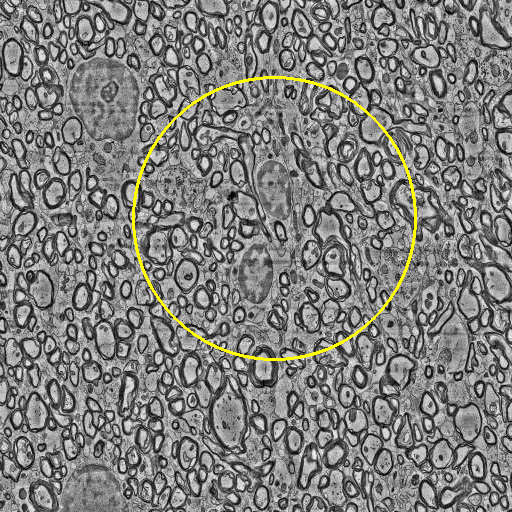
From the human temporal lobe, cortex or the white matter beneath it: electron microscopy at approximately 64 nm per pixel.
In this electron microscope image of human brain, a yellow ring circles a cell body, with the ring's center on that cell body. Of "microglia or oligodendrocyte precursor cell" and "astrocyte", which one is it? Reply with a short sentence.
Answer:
It is a microglial cell or oligodendrocyte precursor cell at the center of the ring.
